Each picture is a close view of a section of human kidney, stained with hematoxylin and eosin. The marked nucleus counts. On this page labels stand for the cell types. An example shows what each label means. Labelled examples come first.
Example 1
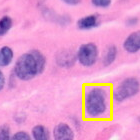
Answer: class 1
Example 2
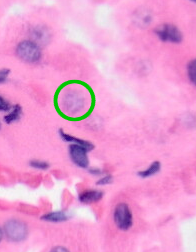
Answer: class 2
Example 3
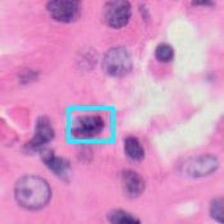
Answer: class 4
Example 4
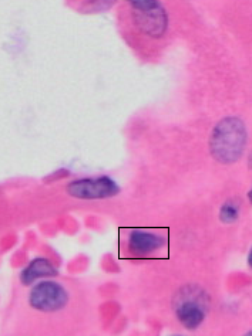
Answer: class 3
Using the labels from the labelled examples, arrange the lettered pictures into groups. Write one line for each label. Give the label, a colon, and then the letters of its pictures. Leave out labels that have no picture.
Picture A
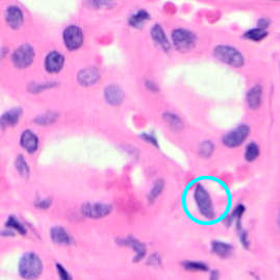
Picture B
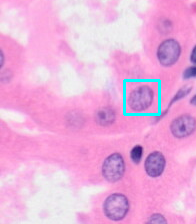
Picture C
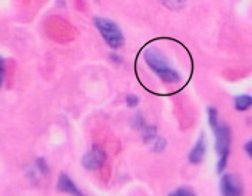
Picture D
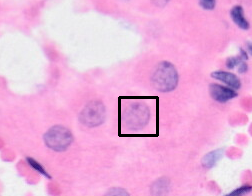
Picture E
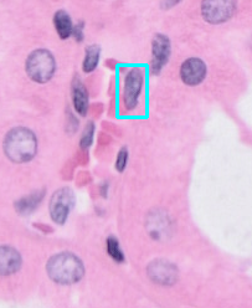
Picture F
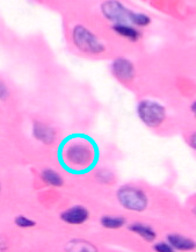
class 2: B, D
class 4: F
class 3: A, C, E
